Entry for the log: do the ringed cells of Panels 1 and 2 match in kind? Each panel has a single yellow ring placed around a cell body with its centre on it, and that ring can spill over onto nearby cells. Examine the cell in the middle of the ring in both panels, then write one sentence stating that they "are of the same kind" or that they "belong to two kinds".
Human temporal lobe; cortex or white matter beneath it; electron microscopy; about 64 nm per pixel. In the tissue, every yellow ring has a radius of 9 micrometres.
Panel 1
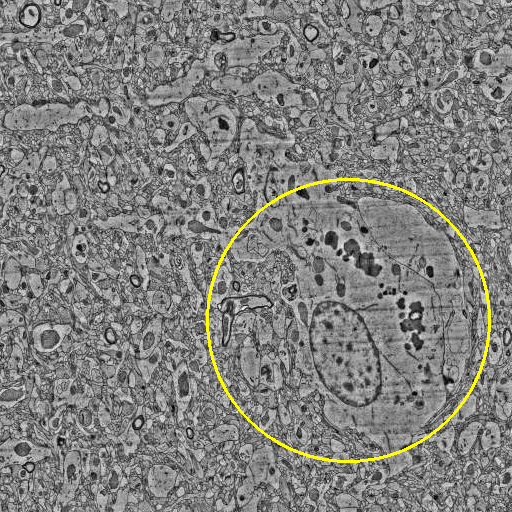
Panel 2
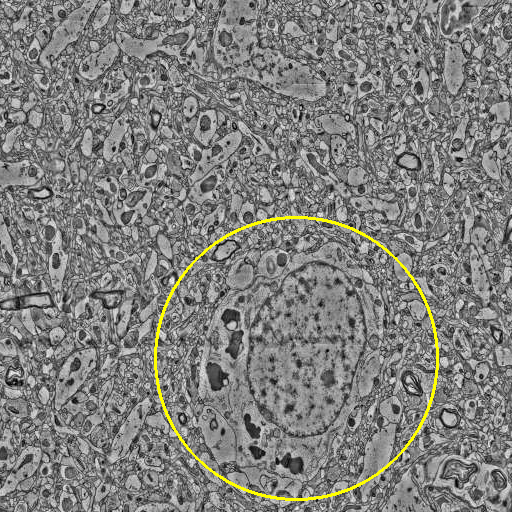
The centre cell of Panel 1's ring and that of Panel 2's ring belong to two kinds.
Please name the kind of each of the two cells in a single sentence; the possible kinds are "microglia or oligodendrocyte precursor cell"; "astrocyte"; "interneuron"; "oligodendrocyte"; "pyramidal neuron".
In the first picture the ring is centred on an astrocyte, and in the second on an interneuron.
